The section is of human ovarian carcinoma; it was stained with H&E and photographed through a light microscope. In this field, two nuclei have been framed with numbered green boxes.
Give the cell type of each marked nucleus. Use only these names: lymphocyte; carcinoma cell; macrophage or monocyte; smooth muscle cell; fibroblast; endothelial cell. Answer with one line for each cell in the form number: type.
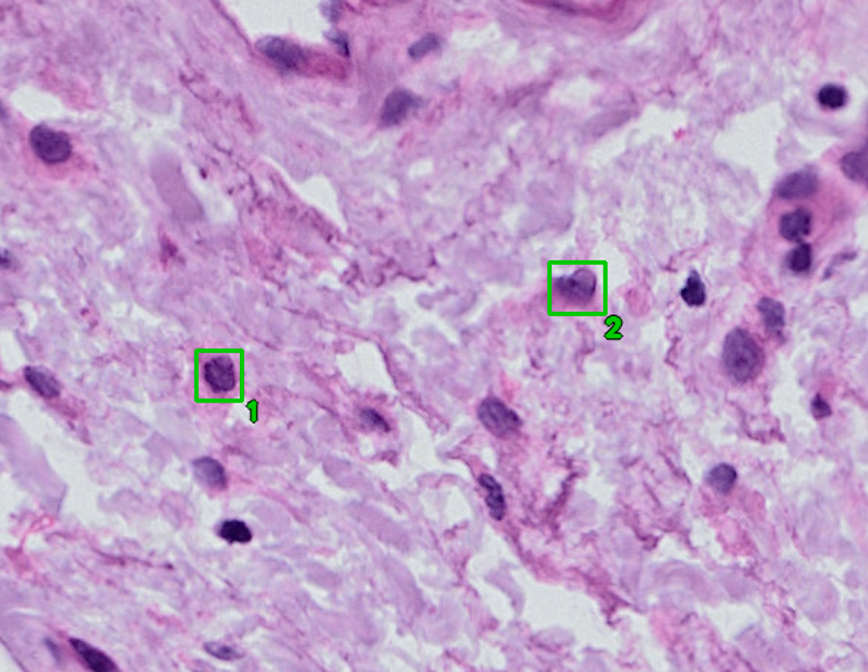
1: macrophage or monocyte
2: fibroblast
